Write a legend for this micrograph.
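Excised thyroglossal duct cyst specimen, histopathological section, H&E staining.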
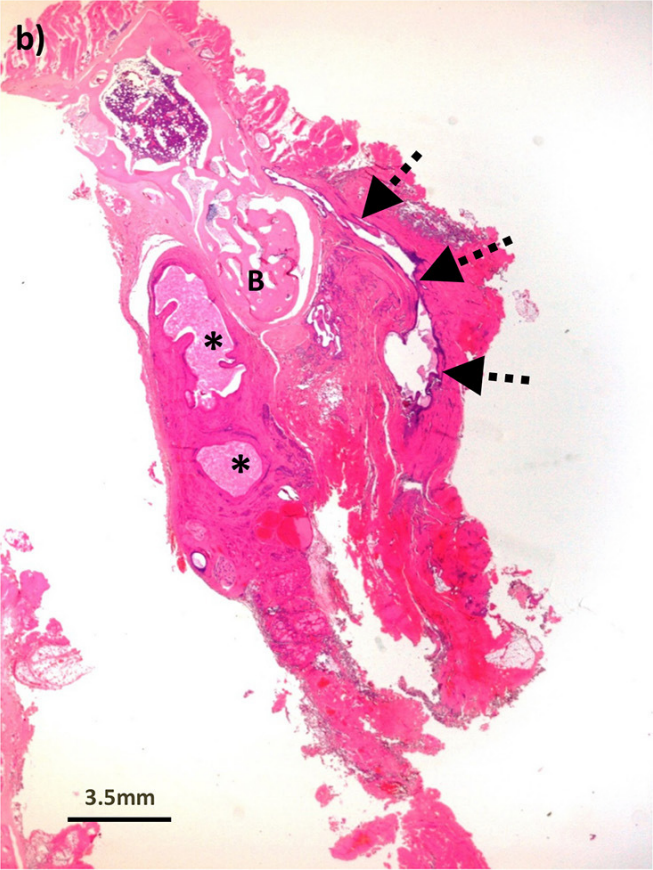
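At low power the section shows a block of pink bone with rounded marrow spaces near the top, set in dense pink fibrous soft tissue that tapers downward. Beside the bone, a long thin slit-like channel with a darker lining runs through the soft tissue, while below and to the left of the bone lie rounded spaces filled with pale pink material and walled by fibrous tissue.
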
